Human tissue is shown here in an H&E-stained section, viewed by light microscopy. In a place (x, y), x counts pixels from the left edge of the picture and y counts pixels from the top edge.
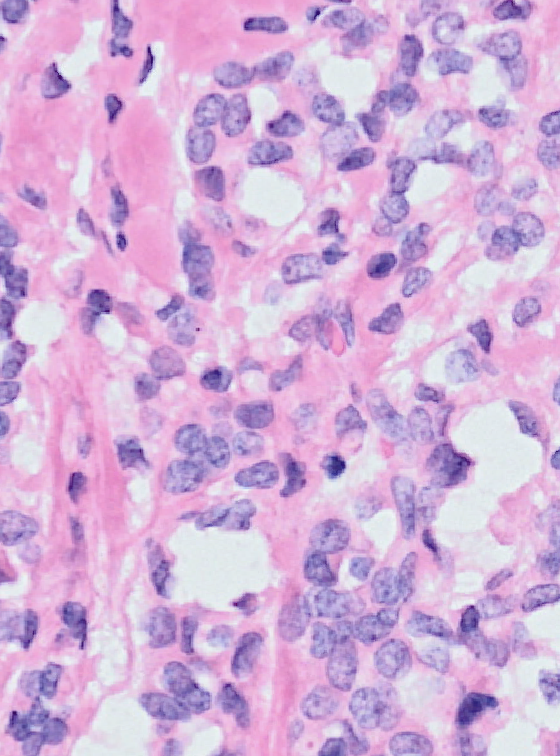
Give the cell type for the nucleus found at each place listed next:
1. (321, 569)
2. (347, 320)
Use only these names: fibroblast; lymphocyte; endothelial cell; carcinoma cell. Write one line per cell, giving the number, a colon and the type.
1: carcinoma cell
2: endothelial cell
